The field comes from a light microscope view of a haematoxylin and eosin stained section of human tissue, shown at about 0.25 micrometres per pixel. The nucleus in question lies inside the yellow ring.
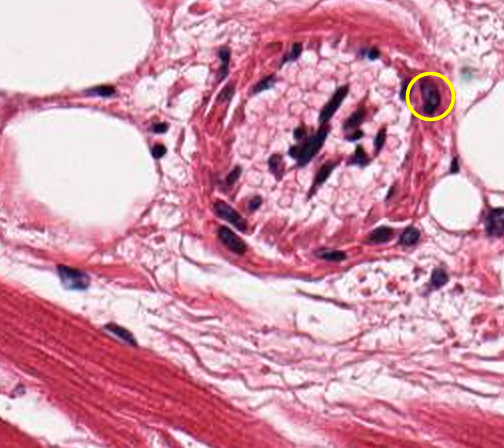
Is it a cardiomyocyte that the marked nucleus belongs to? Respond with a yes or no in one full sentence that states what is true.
No, within this field the marked nucleus is not that of a cardiomyocyte.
